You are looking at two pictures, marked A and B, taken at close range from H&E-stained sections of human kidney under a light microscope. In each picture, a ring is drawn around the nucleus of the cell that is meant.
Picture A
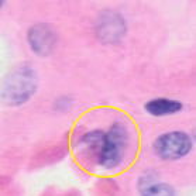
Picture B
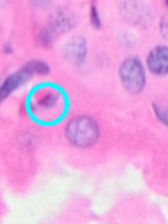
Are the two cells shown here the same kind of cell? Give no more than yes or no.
yes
